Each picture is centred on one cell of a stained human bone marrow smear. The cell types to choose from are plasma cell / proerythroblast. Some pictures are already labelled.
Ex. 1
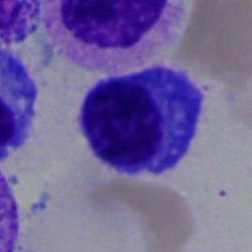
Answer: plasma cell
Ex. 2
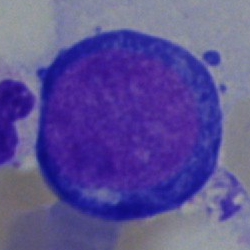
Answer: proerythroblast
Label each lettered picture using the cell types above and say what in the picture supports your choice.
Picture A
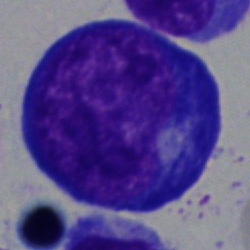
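Answer: proerythroblast. The chromatin is finely stippled rather than coarsely clumped.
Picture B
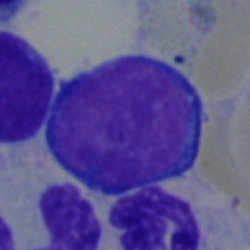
Answer: proerythroblast. The cytoplasm forms only a thin rim around the nucleus.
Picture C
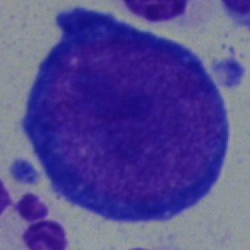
Answer: proerythroblast. The cytoplasm forms only a narrow rim that stains deep blue.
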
